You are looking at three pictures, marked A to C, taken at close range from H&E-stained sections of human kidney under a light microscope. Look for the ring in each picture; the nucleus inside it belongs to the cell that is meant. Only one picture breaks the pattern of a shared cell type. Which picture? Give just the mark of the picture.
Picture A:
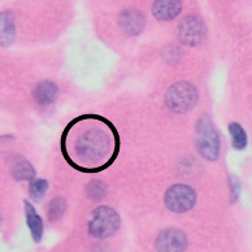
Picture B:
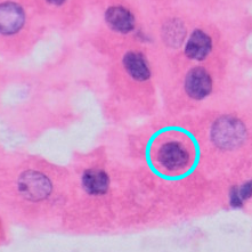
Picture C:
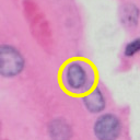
C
